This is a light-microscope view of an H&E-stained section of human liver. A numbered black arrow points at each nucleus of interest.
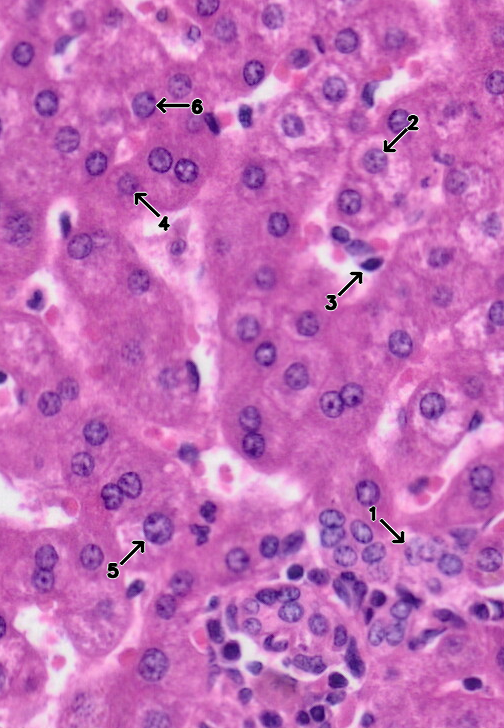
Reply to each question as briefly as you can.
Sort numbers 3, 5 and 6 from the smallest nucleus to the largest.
3, 6, 5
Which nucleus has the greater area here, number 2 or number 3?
2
